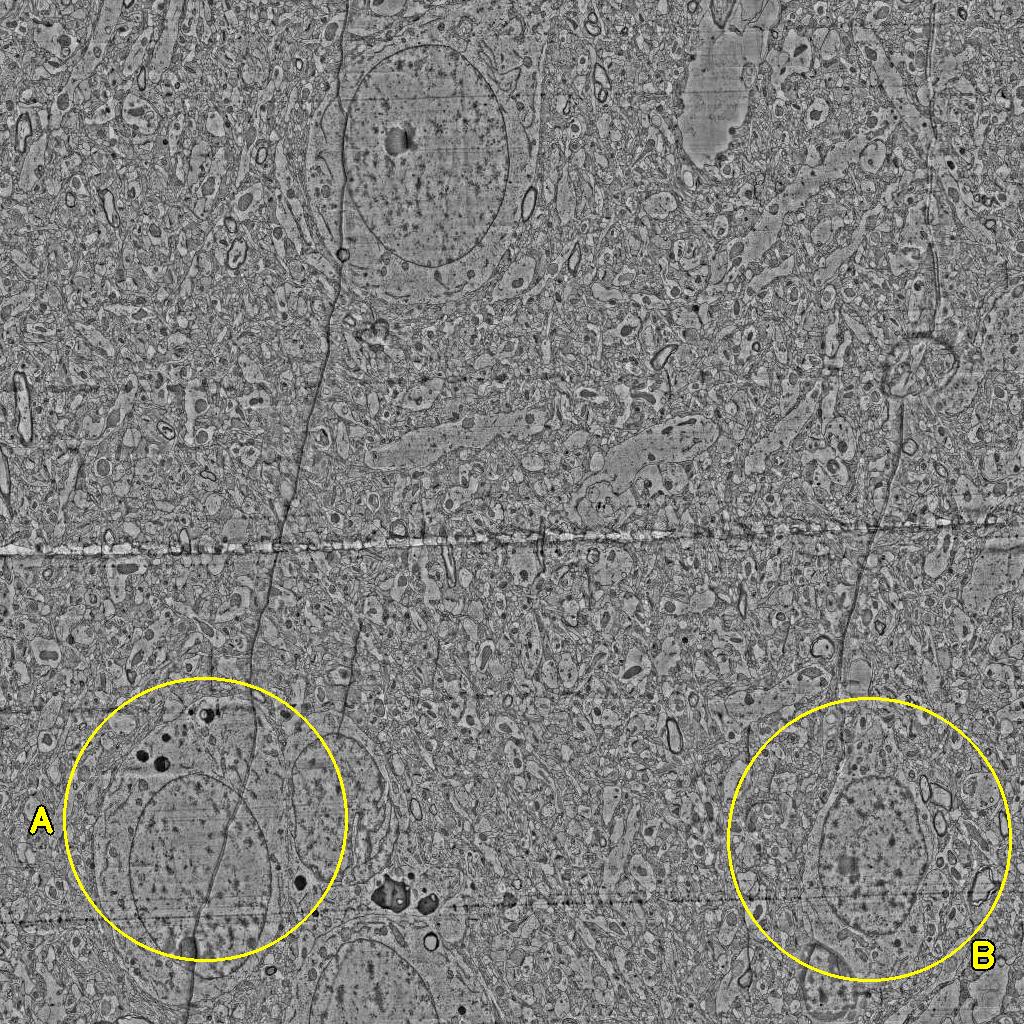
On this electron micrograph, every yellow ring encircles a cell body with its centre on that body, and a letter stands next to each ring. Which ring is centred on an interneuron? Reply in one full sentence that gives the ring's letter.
Ring B is the ring that has the cell asked for in its centre.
